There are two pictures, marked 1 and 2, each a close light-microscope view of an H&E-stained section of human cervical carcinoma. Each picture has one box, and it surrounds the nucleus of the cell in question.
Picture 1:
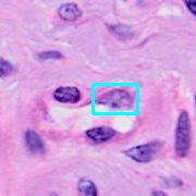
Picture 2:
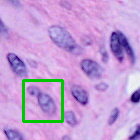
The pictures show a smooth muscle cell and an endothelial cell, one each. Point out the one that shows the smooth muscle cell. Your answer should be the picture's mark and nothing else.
2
